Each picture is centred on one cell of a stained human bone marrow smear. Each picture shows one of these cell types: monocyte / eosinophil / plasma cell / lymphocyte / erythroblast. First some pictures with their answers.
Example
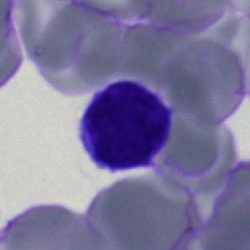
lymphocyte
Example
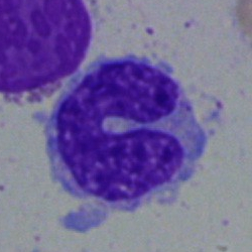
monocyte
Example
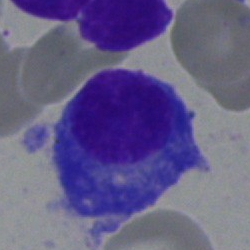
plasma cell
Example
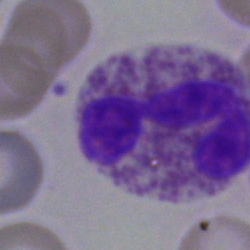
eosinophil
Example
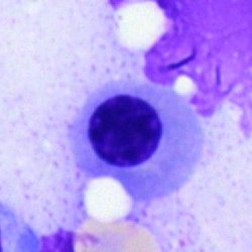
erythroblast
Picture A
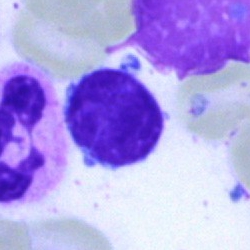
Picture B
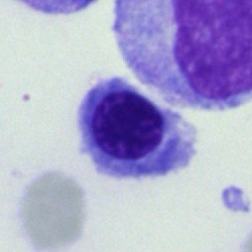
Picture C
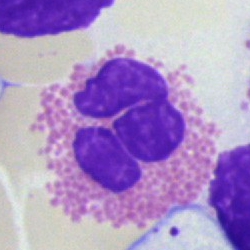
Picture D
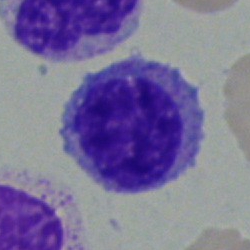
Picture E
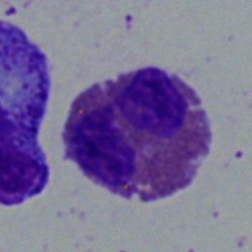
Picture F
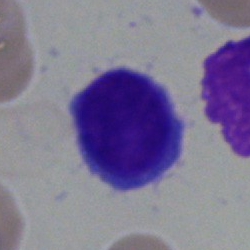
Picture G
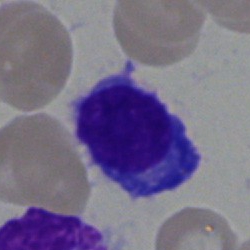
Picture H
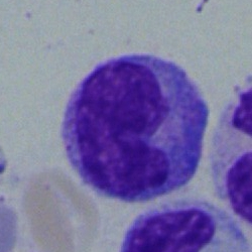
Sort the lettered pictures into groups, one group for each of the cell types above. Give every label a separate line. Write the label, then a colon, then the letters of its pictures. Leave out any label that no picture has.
monocyte: D, H
eosinophil: C, E
plasma cell: G
lymphocyte: A, F
erythroblast: B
